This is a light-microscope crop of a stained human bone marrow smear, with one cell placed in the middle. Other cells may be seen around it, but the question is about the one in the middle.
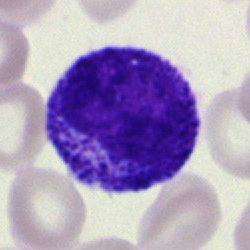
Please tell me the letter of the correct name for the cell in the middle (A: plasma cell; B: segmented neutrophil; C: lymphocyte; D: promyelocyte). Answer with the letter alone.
D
